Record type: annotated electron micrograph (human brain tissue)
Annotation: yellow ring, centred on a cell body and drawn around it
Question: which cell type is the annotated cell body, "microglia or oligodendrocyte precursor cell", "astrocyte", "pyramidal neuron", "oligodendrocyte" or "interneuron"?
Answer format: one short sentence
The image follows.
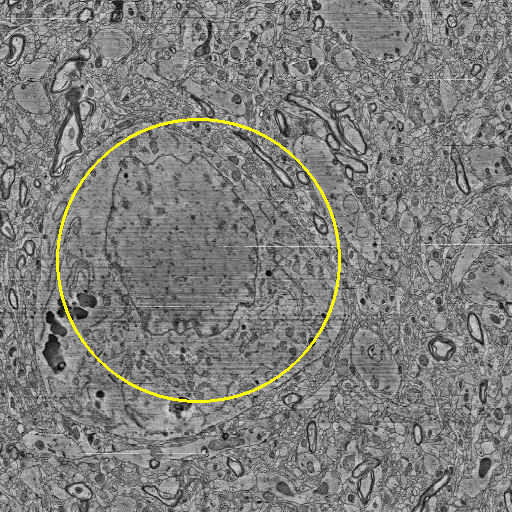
The annotated cell body is that of a pyramidal neuron.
